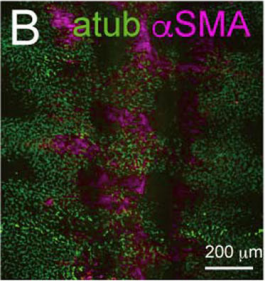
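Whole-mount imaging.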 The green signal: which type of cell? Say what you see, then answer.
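Ciliated cells. Green signal forms many small tufted dots spread over the epithelial surface. The green dots fill broad bands and are sparse in the bands between them.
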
